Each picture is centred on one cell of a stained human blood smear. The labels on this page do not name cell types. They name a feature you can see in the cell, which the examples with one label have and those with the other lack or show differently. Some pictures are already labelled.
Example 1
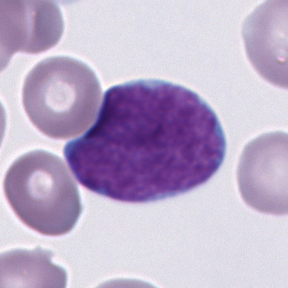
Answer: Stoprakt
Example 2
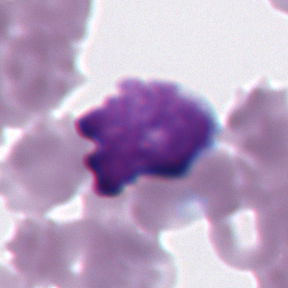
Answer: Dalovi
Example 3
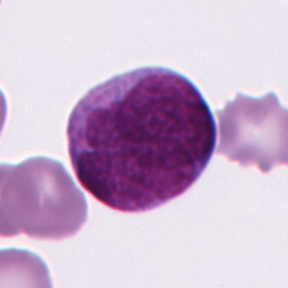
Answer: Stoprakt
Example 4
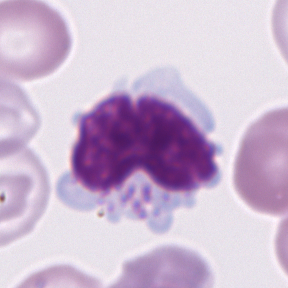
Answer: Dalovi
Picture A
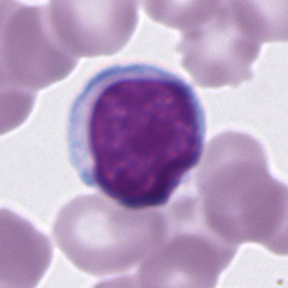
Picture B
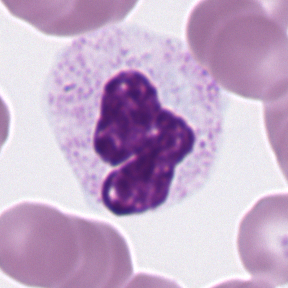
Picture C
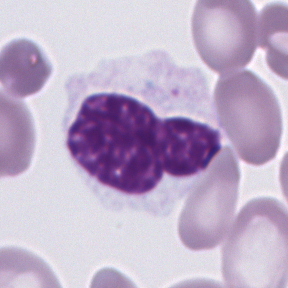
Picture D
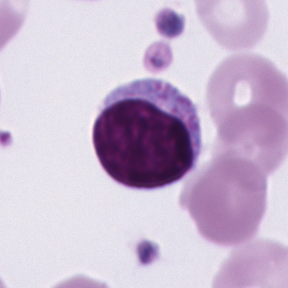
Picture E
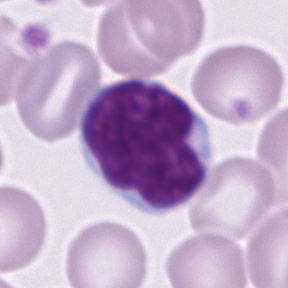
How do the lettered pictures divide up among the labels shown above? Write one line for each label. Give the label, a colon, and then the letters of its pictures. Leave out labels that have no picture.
Stoprakt: A, B, D, E
Dalovi: C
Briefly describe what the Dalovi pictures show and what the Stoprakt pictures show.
In Dalovi: ragged outline or projections. In Stoprakt: smooth outline.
